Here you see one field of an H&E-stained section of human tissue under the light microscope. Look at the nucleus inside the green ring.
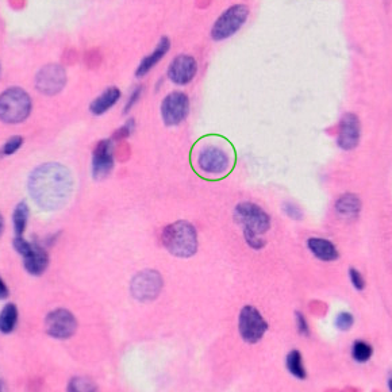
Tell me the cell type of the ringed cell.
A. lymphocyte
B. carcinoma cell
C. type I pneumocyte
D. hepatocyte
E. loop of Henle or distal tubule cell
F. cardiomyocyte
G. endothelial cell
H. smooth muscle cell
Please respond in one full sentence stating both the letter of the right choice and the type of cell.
Here the right answer is E, with the ringed cell being a loop of Henle or distal tubule cell.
